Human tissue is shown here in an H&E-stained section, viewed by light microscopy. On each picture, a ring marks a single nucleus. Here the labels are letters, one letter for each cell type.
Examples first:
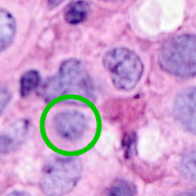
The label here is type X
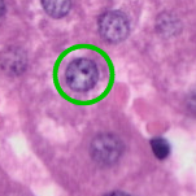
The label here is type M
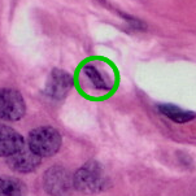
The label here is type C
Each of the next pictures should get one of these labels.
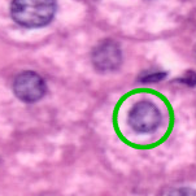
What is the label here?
type M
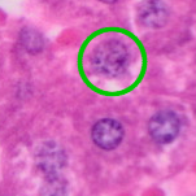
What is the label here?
type M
